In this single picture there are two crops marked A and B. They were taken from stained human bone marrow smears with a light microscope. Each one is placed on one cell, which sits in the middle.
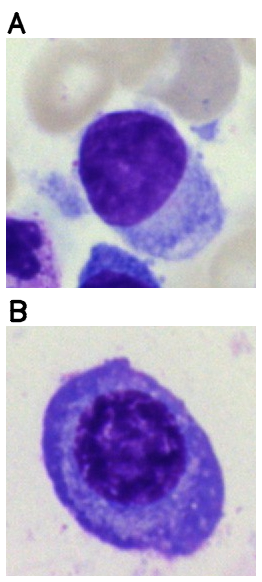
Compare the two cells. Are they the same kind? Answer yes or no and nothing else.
no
